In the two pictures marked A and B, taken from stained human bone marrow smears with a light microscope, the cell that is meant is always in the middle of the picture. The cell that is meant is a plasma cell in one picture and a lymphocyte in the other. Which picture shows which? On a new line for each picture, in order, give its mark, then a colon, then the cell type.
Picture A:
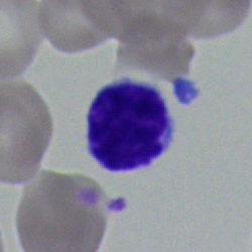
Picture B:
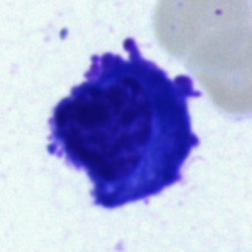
A: lymphocyte
B: plasma cell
